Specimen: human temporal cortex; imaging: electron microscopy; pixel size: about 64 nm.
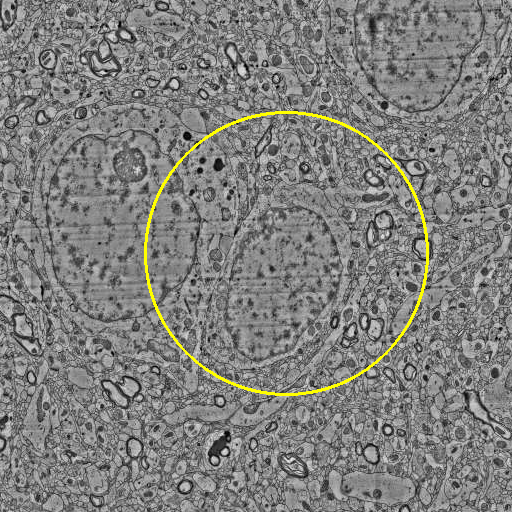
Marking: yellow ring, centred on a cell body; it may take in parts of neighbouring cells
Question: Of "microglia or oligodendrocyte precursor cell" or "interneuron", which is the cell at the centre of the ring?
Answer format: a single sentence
The ring surrounds the body of an interneuron.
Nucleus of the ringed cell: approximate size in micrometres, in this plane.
The nucleus is about 10 micrometres in length and 7 in width, clearly longer than it is wide in this plane.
